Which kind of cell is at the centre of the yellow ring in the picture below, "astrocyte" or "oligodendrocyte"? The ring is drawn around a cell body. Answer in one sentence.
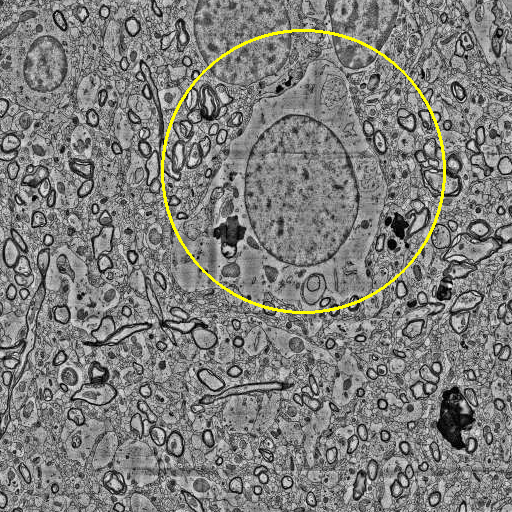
The ring's central cell is an astrocyte.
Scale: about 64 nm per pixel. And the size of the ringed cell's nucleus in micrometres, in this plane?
The nucleus of the ringed cell is approximately 10 by 7 micrometres in this plane.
